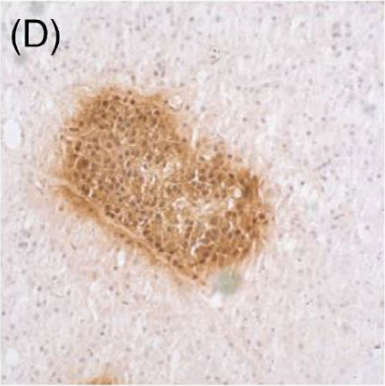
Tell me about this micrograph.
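Pancreas with an endocrine islet set within exocrine acinar tissue. The islet is a compact, oval cluster of closely packed polygonal cells whose cytoplasm is stained strongly brown, with round nuclei throughout; the edge of the cluster is sharply set off from the surrounding tissue, with some brown haze just outside it. No necrosis or inflammatory infiltrate is evident.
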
